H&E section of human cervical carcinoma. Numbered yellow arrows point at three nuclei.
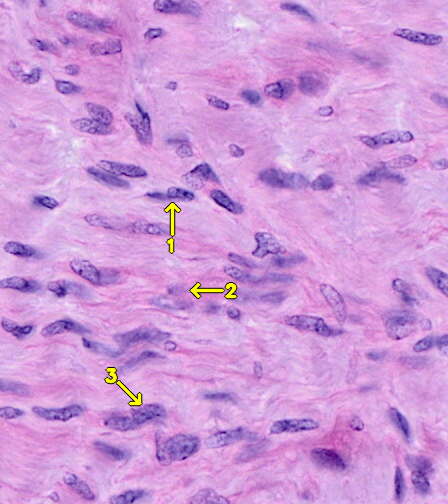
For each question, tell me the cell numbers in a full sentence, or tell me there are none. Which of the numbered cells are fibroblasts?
Only the cell numbered 1 is a fibroblast; none of the others is.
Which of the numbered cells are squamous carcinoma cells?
No numbered cell here qualifies as one of the squamous carcinoma cells.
